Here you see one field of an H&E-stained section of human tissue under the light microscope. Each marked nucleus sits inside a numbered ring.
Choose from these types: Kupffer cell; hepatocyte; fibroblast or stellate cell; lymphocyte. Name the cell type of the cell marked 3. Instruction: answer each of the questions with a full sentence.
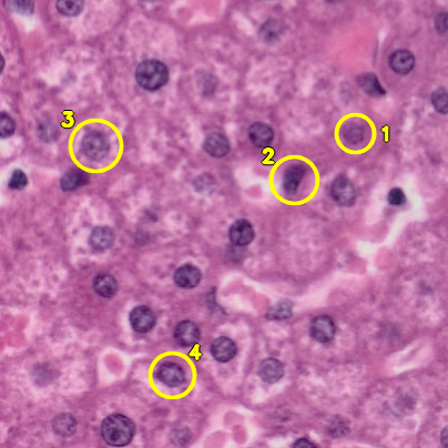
The one numbered 3 among the marked cells is a hepatocyte.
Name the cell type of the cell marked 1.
Cell 1, as marked in the section, is a hepatocyte.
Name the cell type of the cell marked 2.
Looking at the numbered marks, cell 2 is a fibroblast or stellate cell.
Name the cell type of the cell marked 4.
Denoted by the label 4 in the section is a hepatocyte.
